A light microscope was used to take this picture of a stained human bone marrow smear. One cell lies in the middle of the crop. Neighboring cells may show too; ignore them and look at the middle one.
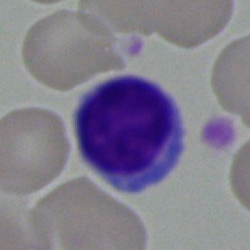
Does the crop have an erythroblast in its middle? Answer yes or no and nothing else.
no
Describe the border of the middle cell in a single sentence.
The outline traces a smooth curve with no projections along it.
